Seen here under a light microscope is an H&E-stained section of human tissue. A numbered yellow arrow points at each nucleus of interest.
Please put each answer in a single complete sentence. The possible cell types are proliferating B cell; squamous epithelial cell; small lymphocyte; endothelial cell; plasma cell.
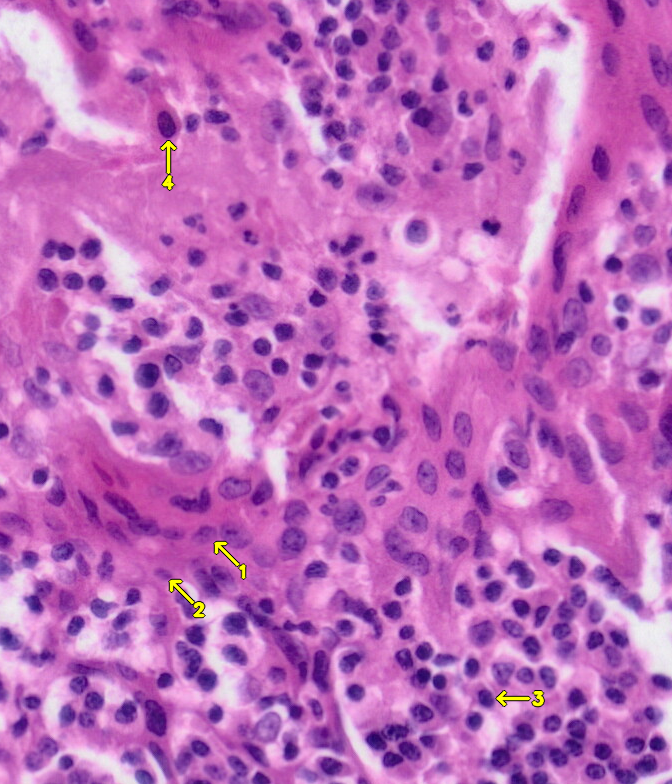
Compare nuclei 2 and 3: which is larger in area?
Of the two, number 3 is bigger and takes up about 2 times the area of number 2.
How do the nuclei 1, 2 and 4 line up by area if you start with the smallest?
The order from the smallest nucleus to the largest is 2, 1, 4.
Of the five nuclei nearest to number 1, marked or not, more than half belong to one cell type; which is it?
Squamous epithelial cells make up most of the five nuclei closest to number 1.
